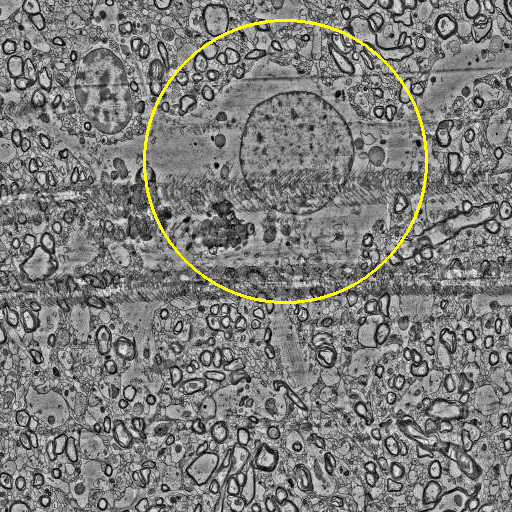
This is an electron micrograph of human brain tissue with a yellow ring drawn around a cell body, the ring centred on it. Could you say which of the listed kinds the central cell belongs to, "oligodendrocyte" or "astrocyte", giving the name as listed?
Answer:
astrocyte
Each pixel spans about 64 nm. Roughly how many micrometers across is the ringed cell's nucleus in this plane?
About 8 micrometers across, in this plane.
